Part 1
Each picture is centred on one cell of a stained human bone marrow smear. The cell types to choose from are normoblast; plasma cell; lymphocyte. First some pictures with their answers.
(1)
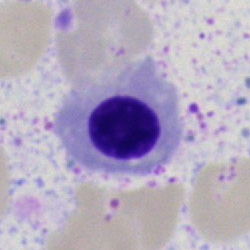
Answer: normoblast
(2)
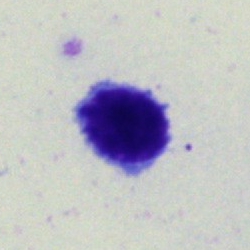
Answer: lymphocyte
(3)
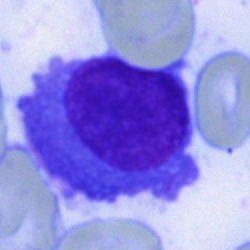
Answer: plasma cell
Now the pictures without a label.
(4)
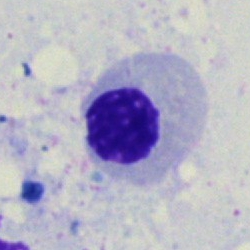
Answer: normoblast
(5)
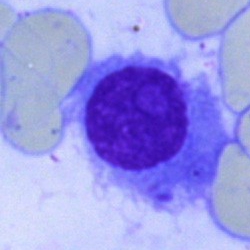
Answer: plasma cell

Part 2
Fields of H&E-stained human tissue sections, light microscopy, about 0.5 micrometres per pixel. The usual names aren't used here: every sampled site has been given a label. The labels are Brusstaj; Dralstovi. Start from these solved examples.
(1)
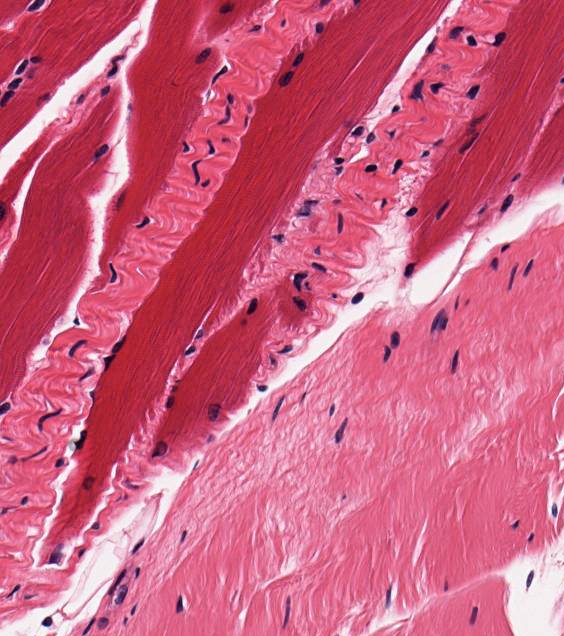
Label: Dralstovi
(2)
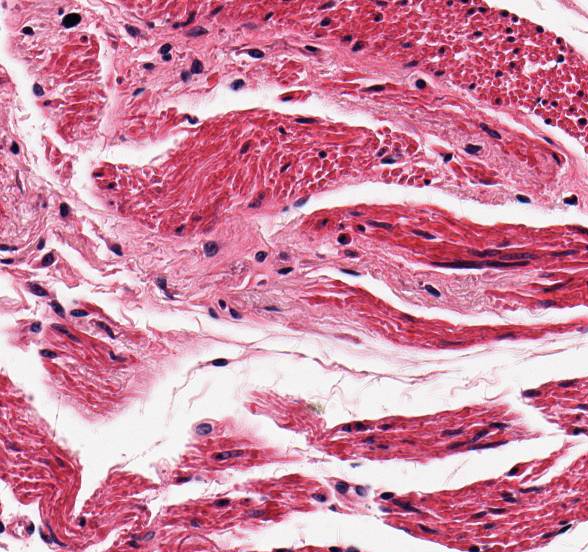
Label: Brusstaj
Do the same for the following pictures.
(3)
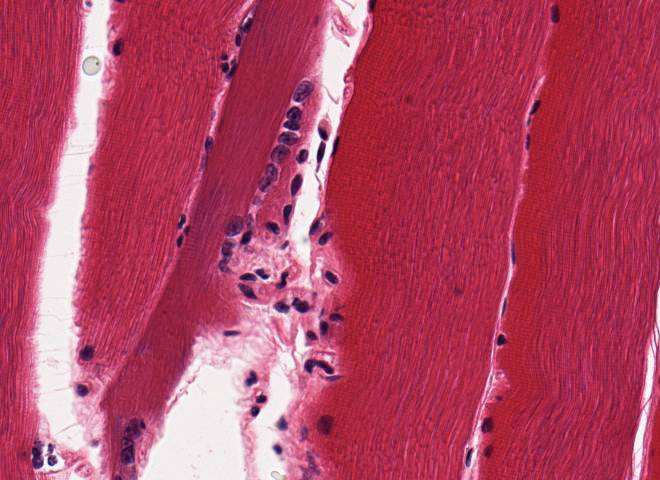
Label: Dralstovi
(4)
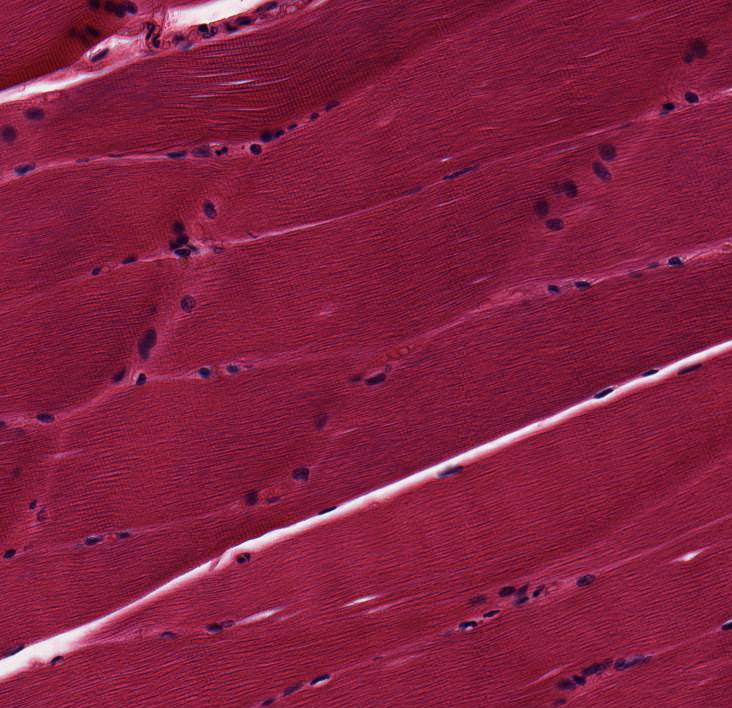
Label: Dralstovi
